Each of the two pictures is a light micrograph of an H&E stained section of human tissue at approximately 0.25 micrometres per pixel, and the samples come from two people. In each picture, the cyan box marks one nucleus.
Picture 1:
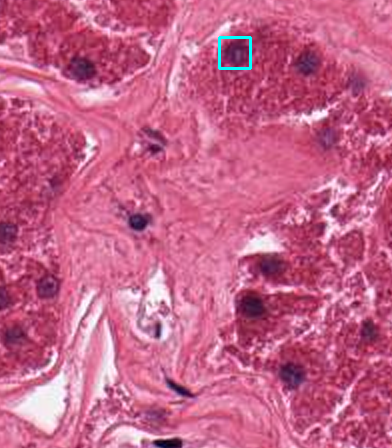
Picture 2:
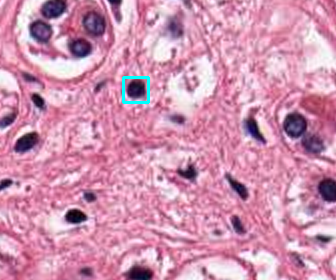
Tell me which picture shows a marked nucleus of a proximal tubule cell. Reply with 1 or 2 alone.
1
